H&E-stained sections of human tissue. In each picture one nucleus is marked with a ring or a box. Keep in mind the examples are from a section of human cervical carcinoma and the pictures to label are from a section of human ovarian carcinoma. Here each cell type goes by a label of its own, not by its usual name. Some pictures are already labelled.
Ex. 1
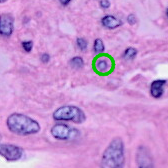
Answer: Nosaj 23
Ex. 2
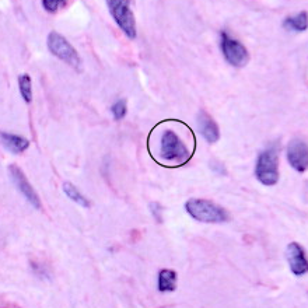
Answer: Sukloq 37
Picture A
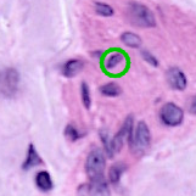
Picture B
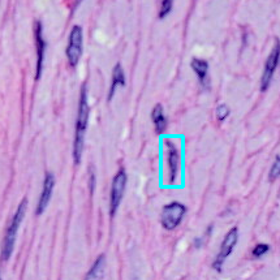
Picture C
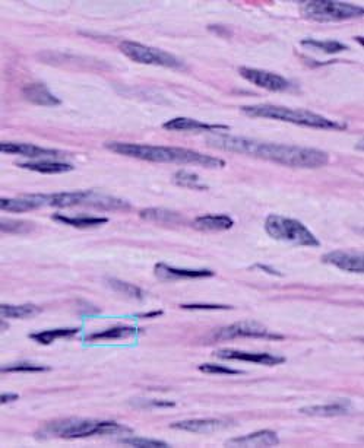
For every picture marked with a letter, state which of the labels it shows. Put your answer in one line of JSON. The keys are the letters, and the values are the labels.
{"A": "Nosaj 23", "B": "Sukloq 37", "C": "Nosaj 23"}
